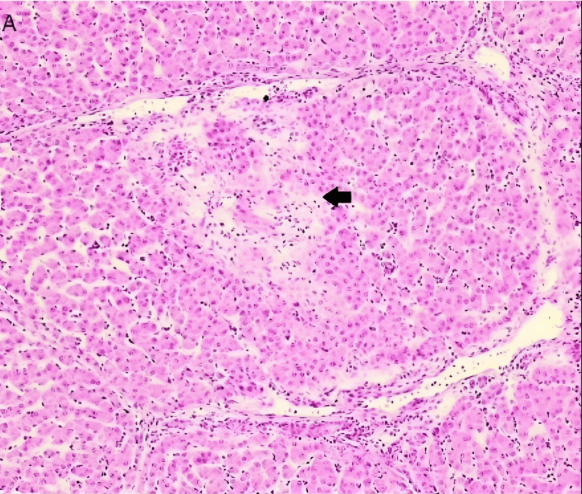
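This section of liver shows a lobule with centrilobular necrosis and inflammation, outlined by a thin band of connective tissue. At the centre of the lobule the liver cells form a paler area in which they lie loosely rather than in tight cords. Their nuclei are hard to make out, while small dark nuclei are scattered among them. Around this area the hepatocytes keep their pink cytoplasm and round nuclei in a denser arrangement. The contrast in paleness between the centre and the surrounding tissue marks the damaged zone.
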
